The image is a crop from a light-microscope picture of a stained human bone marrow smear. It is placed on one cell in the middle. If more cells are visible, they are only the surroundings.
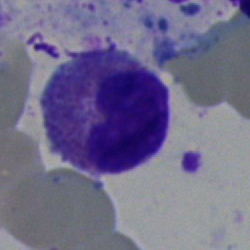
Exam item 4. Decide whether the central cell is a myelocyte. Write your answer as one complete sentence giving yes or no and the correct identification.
No, the centre of the crop contains an eosinophil rather than a myelocyte.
